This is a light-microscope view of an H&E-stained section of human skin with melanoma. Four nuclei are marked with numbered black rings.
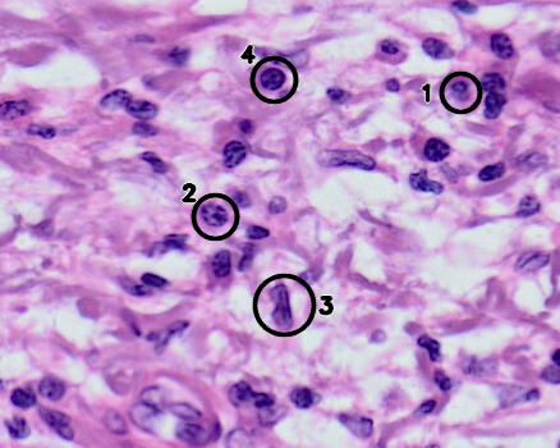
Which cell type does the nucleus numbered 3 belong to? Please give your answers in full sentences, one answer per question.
The cell bearing label 3 corresponds to a macrophage or monocyte.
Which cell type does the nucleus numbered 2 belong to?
Belonging to a plasma cell is the nucleus that carries the number 2.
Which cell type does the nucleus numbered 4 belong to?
In this section, the cell tagged 4 is a plasma cell.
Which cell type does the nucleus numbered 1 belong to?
Identified by the number 1, the cell is a plasma cell.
